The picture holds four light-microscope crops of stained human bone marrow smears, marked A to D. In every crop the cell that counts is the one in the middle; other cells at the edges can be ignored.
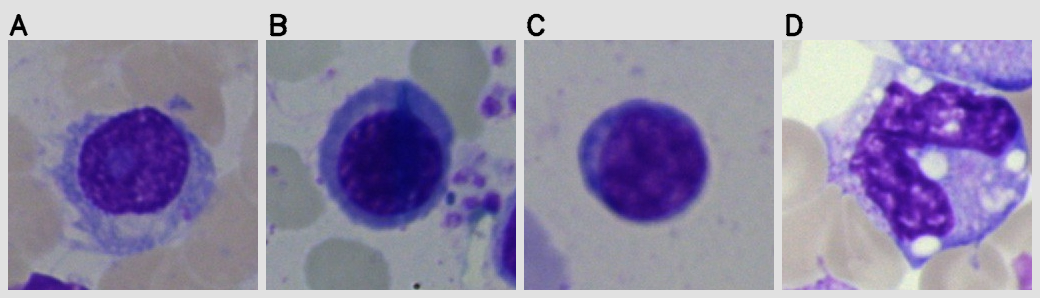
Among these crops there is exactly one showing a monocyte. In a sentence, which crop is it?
Of all the crops, crop D is the one showing a monocyte.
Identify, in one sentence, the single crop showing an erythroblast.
Crop B is the crop whose central cell is an erythroblast.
